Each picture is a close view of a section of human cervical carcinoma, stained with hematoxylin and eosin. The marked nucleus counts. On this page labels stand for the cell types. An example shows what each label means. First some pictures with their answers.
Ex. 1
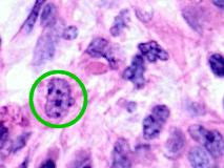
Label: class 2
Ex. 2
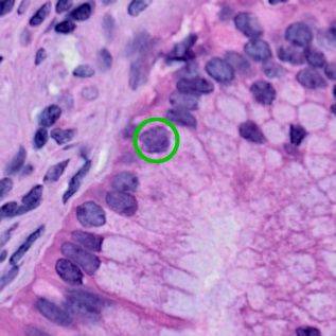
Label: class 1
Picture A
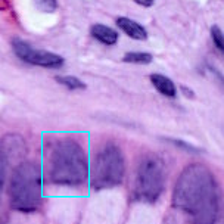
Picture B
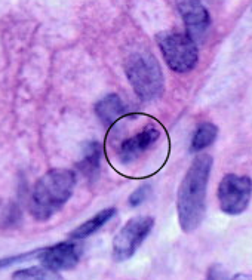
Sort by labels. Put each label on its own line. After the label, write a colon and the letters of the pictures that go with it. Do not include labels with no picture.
class 1: A, B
